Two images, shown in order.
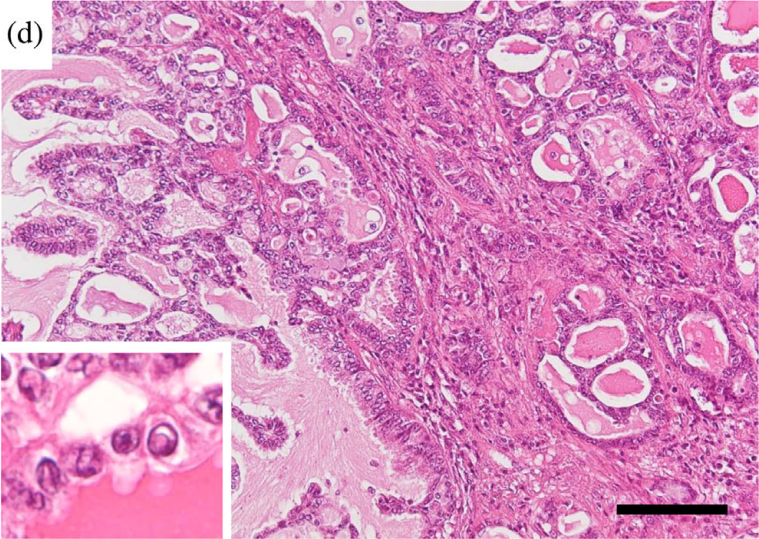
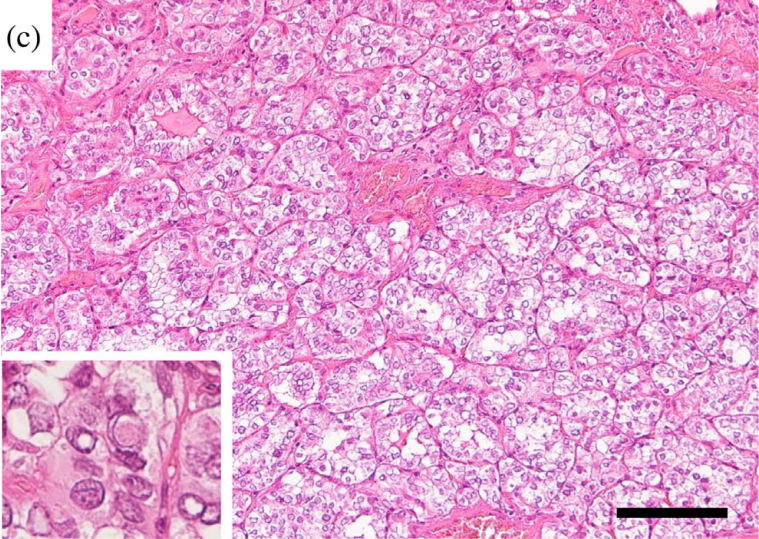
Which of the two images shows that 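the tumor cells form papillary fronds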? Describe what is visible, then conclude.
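First image: finger-like fronds lined by columnar cells and tubules in fibrous stroma. Second image: closely packed rounded follicles and nests without fronds.
Hence: the first image.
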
